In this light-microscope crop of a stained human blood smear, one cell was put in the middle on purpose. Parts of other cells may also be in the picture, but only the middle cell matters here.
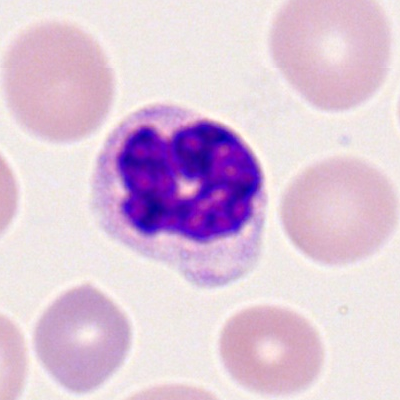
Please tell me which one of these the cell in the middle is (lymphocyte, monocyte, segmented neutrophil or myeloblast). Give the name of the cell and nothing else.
segmented neutrophil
